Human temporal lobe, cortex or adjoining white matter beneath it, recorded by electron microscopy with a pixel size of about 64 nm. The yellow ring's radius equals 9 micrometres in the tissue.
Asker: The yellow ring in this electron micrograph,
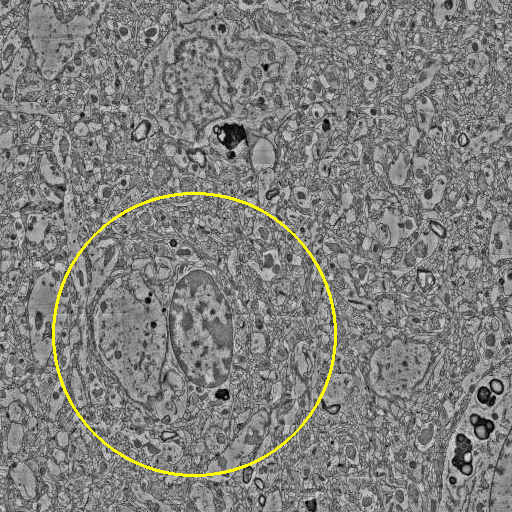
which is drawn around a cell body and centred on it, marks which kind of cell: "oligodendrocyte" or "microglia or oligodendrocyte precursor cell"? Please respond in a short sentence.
The marked cell is a microglial cell or oligodendrocyte precursor cell.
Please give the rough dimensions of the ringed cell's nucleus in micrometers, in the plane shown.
In this plane the nucleus is roughly 7 by 4 micrometres, clearly longer than it is wide.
